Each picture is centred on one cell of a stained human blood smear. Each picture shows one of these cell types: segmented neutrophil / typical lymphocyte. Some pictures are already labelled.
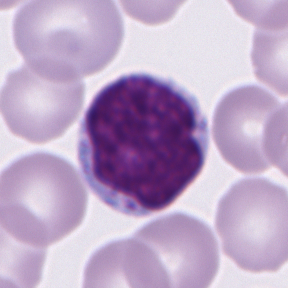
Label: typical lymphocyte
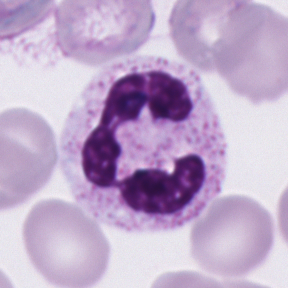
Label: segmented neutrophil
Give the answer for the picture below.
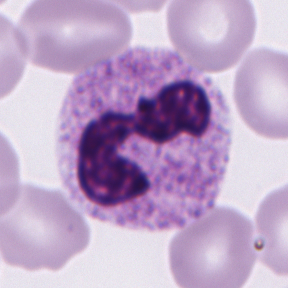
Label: segmented neutrophil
